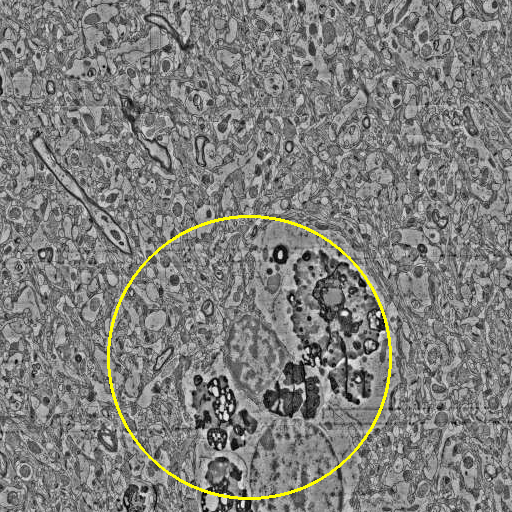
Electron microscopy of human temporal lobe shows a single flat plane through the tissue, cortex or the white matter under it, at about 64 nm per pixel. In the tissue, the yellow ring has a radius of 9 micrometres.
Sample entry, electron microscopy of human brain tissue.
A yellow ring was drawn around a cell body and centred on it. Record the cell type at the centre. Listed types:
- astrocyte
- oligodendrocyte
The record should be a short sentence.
The cell at the ring's centre is an oligodendrocyte.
